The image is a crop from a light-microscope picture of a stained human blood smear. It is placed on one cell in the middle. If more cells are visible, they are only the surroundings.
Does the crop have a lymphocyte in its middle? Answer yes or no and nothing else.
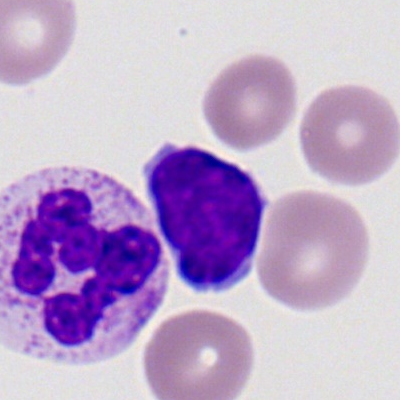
yes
